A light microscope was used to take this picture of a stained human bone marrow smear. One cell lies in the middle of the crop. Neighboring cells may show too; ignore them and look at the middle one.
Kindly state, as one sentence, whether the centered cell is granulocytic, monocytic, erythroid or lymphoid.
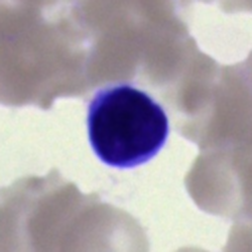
To the lymphoid lineage belongs the cell in the middle of the crop.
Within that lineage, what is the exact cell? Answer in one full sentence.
The cell under consideration, at the middle of the crop, is a lymphocyte.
